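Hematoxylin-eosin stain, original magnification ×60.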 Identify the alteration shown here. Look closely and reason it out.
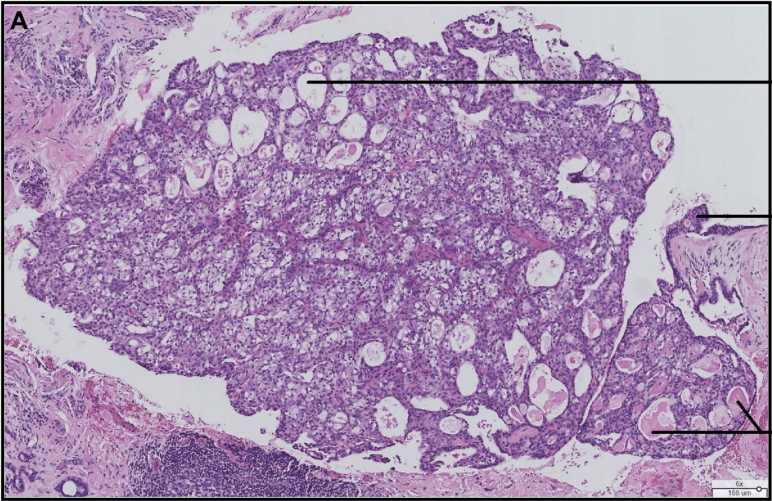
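Eosinophilic pseudocolloidal secretory substance. Some of the spaces contain pink homogeneous material. Other spaces are empty.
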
